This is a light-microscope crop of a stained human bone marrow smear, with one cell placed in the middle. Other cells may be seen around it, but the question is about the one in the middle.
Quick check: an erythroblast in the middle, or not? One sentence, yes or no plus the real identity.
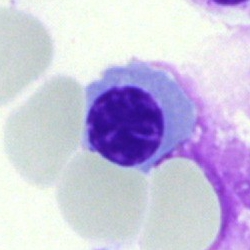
Yes, as regards the cell in the middle, it is an erythroblast.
